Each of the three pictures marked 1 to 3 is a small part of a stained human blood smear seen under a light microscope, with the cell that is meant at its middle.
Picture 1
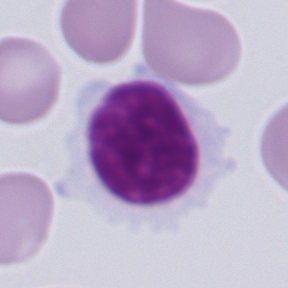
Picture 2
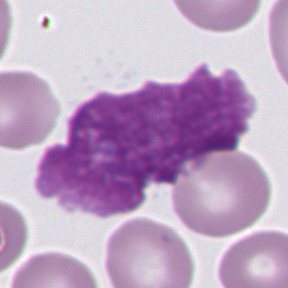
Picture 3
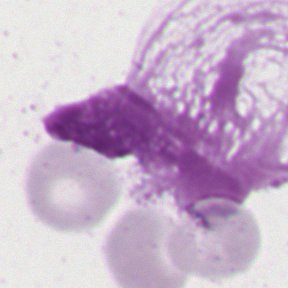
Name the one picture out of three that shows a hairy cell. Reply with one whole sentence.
The picture with the hairy cell is 1.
